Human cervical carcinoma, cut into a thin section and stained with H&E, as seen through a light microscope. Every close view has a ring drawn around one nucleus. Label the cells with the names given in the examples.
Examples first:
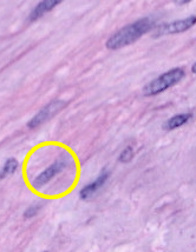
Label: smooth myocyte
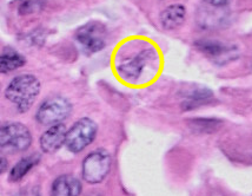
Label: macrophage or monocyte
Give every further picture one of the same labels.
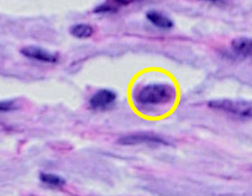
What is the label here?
macrophage or monocyte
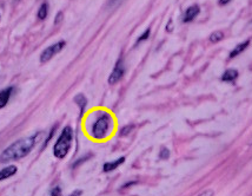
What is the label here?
smooth myocyte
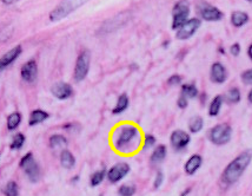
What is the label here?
smooth myocyte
